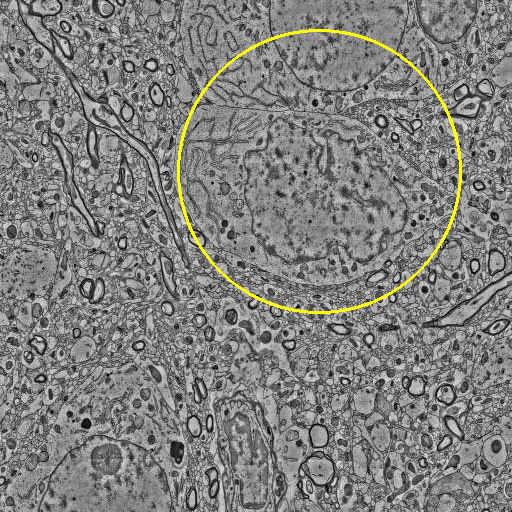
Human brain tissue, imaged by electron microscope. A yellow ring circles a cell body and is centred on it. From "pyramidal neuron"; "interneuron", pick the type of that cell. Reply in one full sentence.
The cell body at the centre of the yellow ring belongs to an interneuron.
